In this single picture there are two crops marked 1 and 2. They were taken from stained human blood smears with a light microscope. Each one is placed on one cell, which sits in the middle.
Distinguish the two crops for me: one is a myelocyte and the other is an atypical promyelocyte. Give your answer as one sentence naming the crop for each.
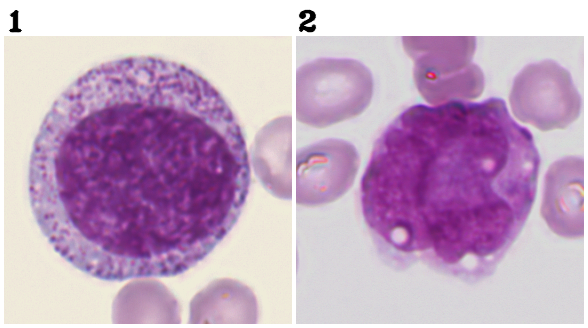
Crop 1 is identified as a myelocyte, and crop 2 is identified as an atypical promyelocyte.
